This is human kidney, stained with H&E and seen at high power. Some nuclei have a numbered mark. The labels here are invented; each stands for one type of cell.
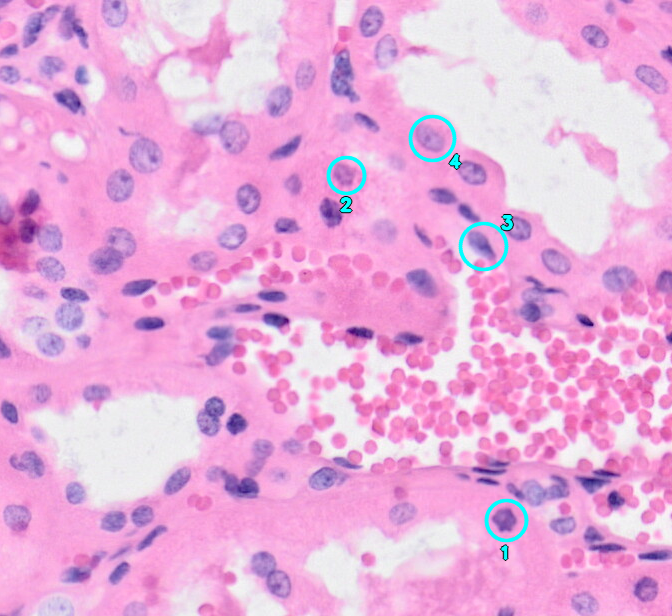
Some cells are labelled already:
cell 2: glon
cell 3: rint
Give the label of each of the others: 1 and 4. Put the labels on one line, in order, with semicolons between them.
glon; glon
